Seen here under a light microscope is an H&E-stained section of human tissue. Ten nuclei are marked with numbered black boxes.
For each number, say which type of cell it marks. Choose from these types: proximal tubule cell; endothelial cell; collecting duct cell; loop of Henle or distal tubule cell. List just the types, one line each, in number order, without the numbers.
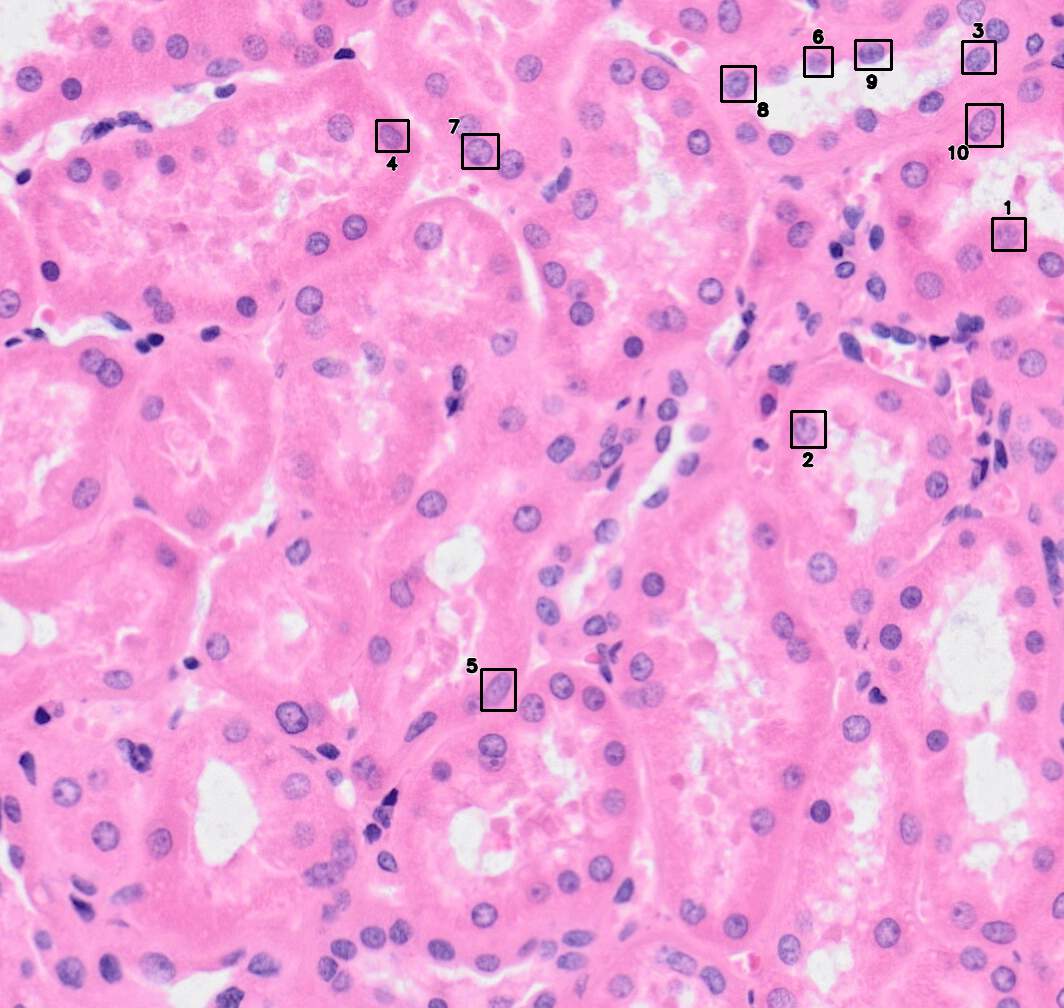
proximal tubule cell
proximal tubule cell
loop of Henle or distal tubule cell
proximal tubule cell
proximal tubule cell
loop of Henle or distal tubule cell
proximal tubule cell
loop of Henle or distal tubule cell
loop of Henle or distal tubule cell
proximal tubule cell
